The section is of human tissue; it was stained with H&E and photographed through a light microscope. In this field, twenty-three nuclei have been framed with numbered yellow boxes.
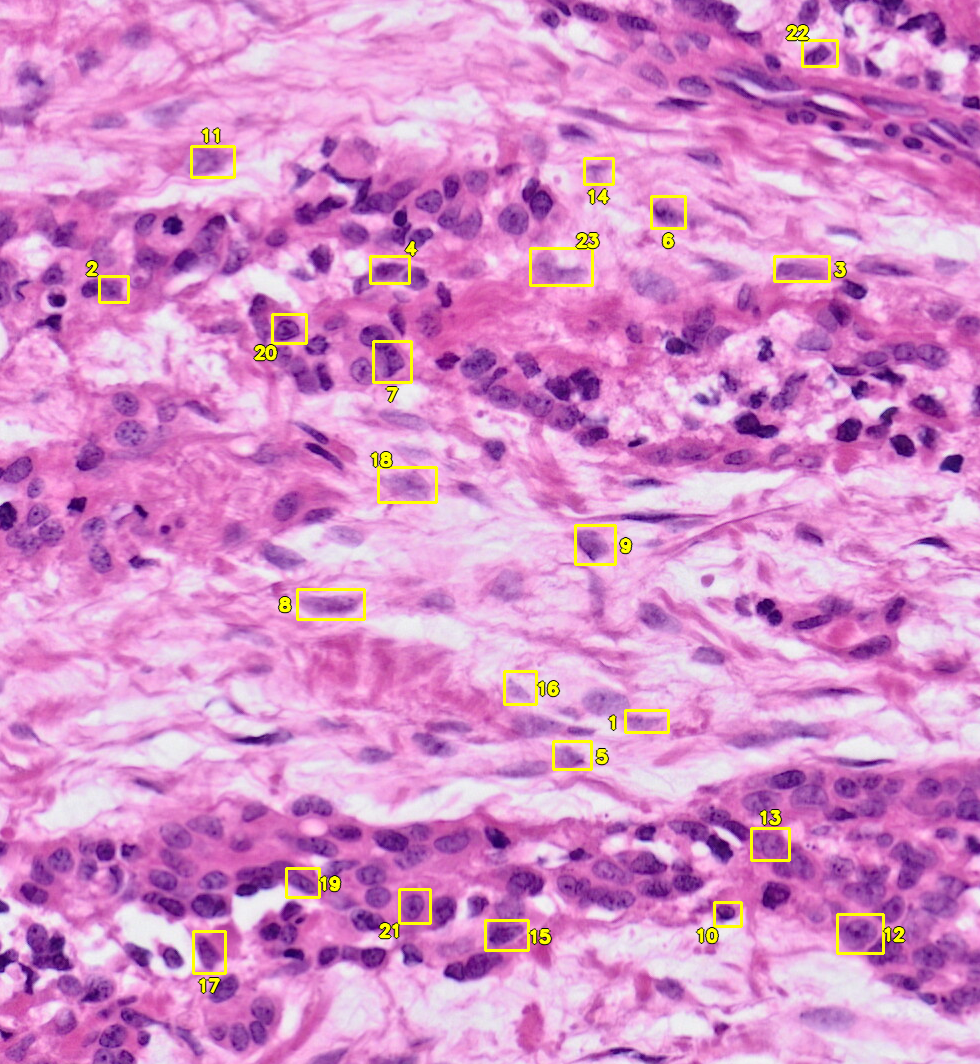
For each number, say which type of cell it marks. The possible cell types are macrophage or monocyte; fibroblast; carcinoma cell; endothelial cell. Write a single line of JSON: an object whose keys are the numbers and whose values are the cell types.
{"1": "fibroblast", "2": "macrophage or monocyte", "3": "fibroblast", "4": "carcinoma cell", "5": "fibroblast", "6": "fibroblast", "7": "carcinoma cell", "8": "fibroblast", "9": "fibroblast", "10": "macrophage or monocyte", "11": "fibroblast", "12": "carcinoma cell", "13": "carcinoma cell", "14": "fibroblast", "15": "carcinoma cell", "16": "fibroblast", "17": "carcinoma cell", "18": "fibroblast", "19": "carcinoma cell", "20": "macrophage or monocyte", "21": "carcinoma cell", "22": "macrophage or monocyte", "23": "fibroblast"}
